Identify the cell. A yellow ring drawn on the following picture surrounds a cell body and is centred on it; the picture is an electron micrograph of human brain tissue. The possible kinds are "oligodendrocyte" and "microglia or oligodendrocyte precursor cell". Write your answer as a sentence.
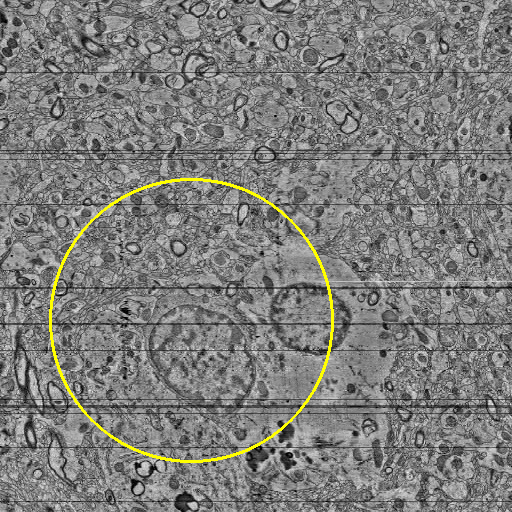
The cell identified by the ring is an oligodendrocyte.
